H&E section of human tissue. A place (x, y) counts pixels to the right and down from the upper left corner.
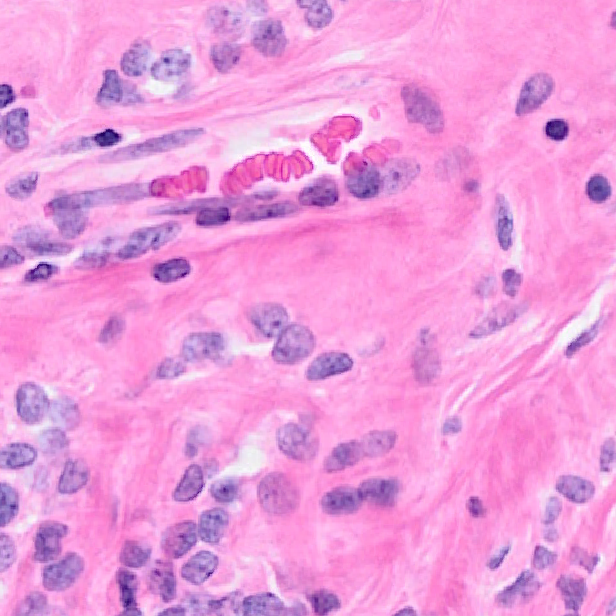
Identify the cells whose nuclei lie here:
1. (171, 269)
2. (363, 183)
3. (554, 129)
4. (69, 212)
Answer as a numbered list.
1. lymphocyte
2. endothelial cell
3. lymphocyte
4. endothelial cell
